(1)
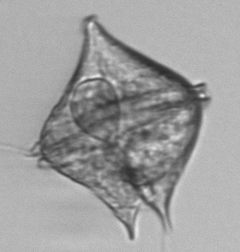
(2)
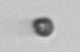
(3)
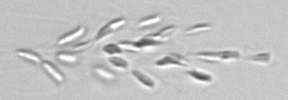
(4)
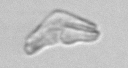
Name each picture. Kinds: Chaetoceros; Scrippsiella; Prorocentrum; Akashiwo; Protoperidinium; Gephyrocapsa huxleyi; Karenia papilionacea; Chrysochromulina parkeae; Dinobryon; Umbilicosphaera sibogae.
Picture 1: Protoperidinium
Picture 2: Gephyrocapsa huxleyi
Picture 3: Dinobryon
Picture 4: Karenia papilionacea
